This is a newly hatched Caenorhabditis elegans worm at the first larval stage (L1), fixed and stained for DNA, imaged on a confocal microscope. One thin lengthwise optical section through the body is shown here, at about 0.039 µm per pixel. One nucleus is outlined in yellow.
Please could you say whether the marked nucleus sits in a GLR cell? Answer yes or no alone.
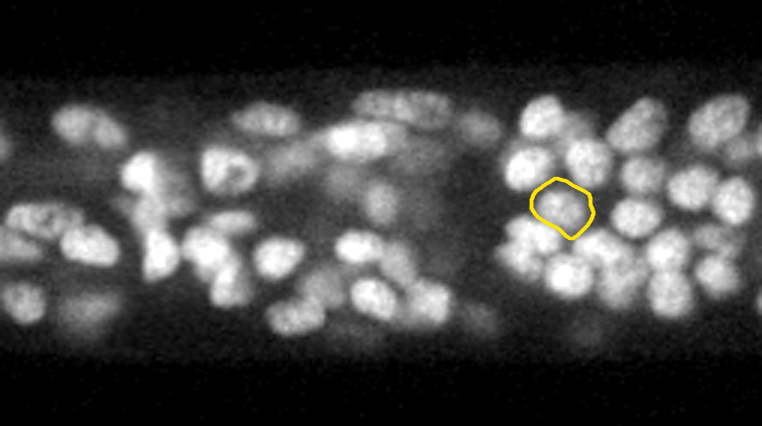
no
